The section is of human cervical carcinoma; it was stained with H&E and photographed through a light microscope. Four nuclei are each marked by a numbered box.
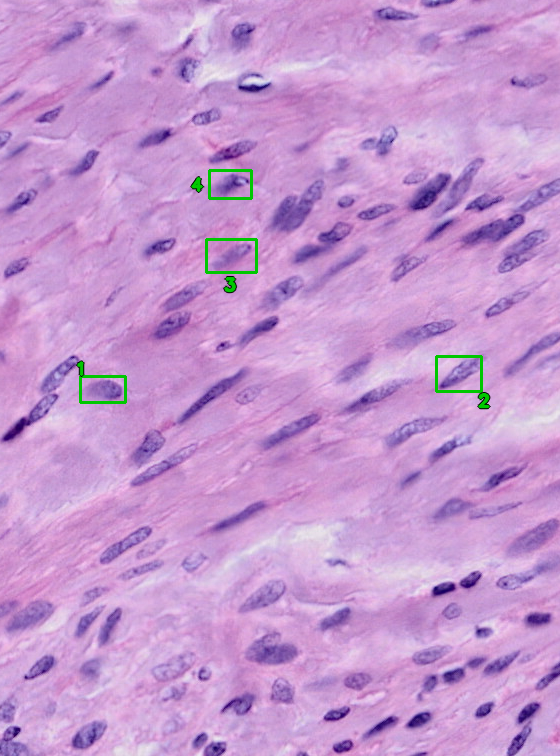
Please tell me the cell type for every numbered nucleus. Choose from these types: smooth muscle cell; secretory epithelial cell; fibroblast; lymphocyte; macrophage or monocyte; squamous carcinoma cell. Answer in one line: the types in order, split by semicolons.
fibroblast; fibroblast; smooth muscle cell; fibroblast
